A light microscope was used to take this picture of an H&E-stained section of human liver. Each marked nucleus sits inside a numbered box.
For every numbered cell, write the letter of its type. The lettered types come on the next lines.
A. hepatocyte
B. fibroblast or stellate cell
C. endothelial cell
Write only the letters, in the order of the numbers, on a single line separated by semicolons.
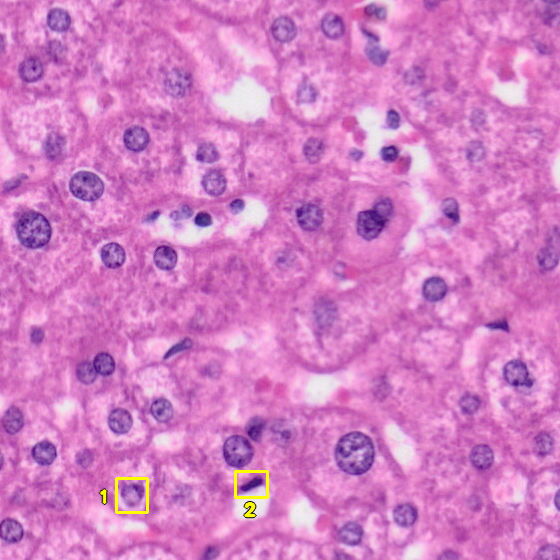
A; C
